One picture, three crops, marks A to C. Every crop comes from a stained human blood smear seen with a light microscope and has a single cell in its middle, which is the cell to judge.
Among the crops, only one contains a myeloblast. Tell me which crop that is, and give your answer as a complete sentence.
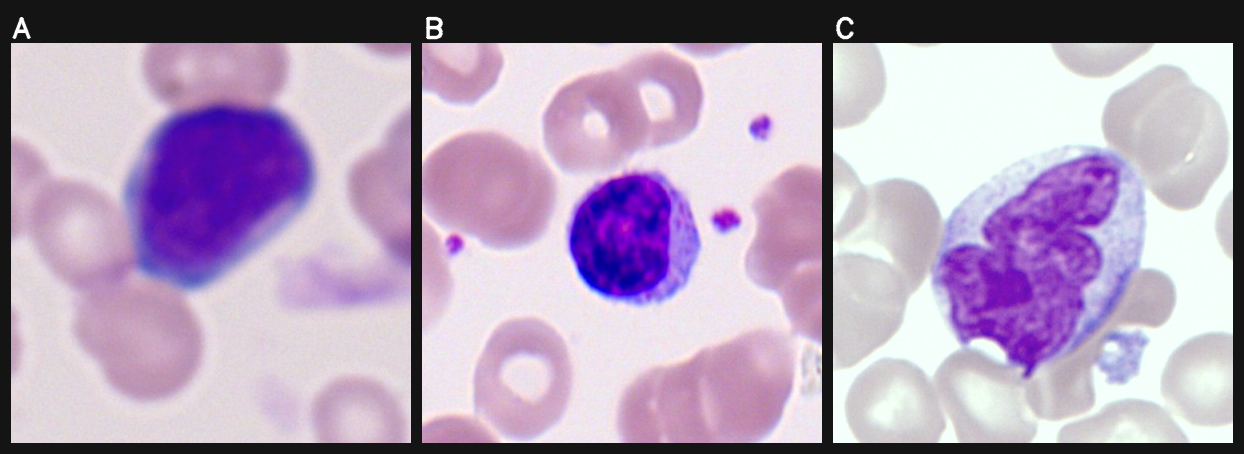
The crop with a myeloblast at its center is crop A.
